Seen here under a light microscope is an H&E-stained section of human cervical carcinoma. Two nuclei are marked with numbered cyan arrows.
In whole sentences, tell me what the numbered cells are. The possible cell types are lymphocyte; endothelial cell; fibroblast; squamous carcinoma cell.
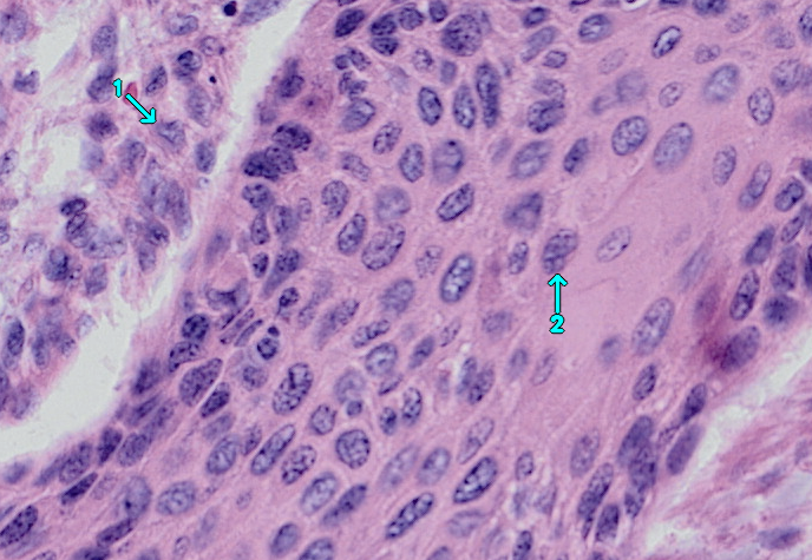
Cell 1 is an endothelial cell. Cell 2 is a squamous carcinoma cell.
